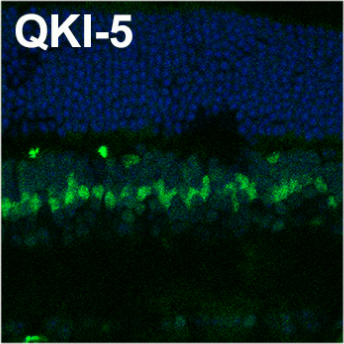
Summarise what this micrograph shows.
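This retinal cross-section shows green signal concentrated in cell bodies across the middle nuclear layer. A thick band of densely packed blue nuclei occupies the top of the section. In the middle nuclear band, green-filled cell bodies form an uneven row at mid-depth, overlapping their nuclei. A few small bright green spots lie at the upper border of this middle band. Below, a broad band with few nuclei is largely dark, with a faint row of nuclei at the bottom.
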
